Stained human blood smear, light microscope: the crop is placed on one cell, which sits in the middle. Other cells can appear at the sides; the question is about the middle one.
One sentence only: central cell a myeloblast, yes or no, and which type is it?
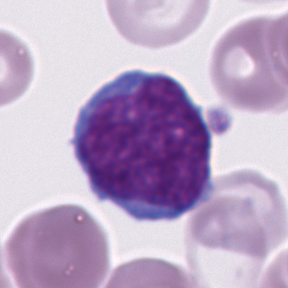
Yes, the cell at the middle is a myeloblast.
